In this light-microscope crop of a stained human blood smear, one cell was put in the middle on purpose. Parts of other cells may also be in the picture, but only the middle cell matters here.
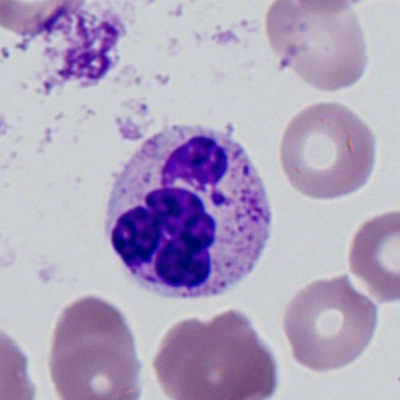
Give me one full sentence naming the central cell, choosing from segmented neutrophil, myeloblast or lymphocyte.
As for the cell in the middle, it is a segmented neutrophil.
